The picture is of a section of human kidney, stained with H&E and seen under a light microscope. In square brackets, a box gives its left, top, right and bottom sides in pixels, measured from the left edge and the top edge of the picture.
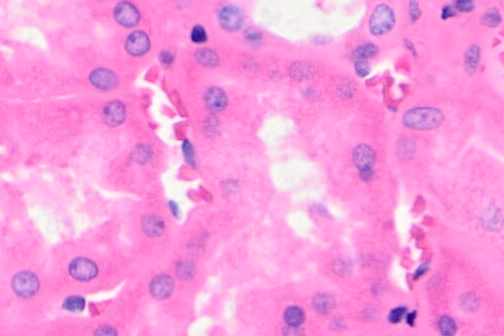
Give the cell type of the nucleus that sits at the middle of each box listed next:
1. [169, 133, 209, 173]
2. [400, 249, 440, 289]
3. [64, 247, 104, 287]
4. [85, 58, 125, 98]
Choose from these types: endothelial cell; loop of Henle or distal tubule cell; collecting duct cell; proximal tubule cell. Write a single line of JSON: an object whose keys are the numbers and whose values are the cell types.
{"1": "endothelial cell", "2": "endothelial cell", "3": "proximal tubule cell", "4": "proximal tubule cell"}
